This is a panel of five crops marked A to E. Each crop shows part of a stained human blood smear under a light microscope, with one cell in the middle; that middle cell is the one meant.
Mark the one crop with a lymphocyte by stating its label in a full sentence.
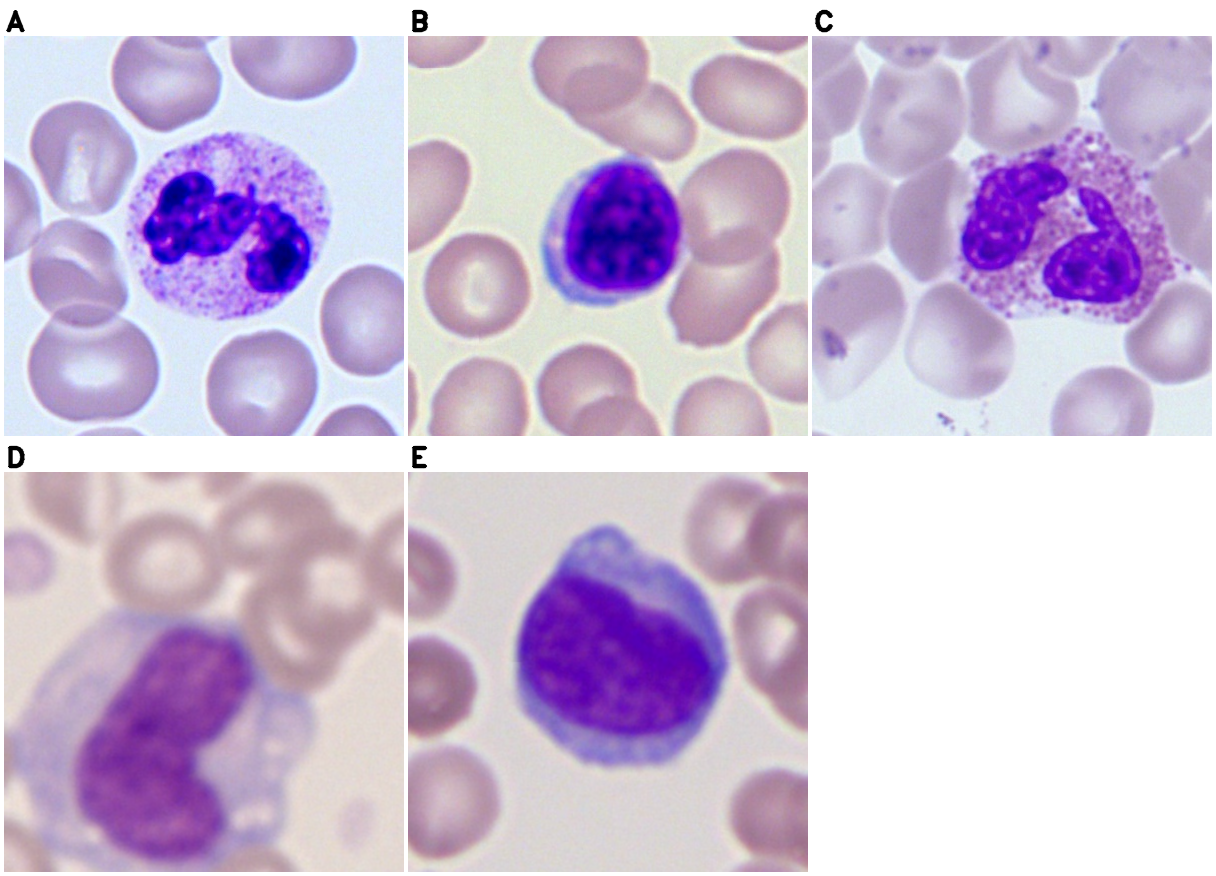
Crop B is the correct crop, and it shows a lymphocyte.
